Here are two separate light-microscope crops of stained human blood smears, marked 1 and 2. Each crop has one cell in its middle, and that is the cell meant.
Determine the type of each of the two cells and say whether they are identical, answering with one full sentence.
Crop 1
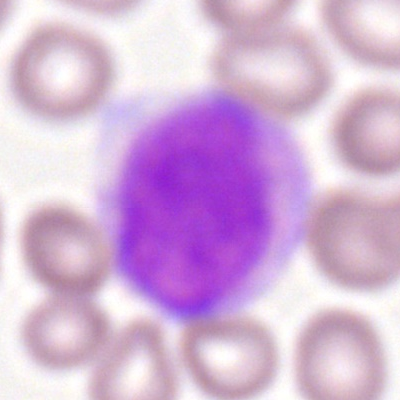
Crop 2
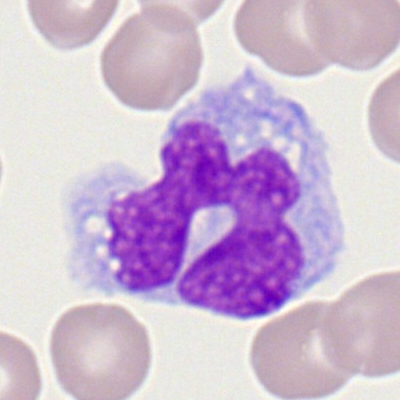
Yes, monocytes lie at the centre of both crops.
